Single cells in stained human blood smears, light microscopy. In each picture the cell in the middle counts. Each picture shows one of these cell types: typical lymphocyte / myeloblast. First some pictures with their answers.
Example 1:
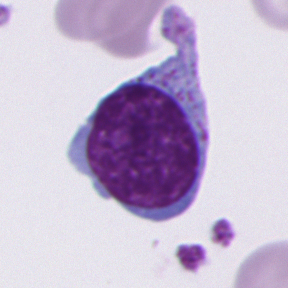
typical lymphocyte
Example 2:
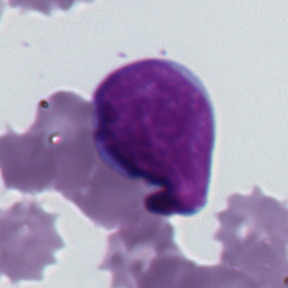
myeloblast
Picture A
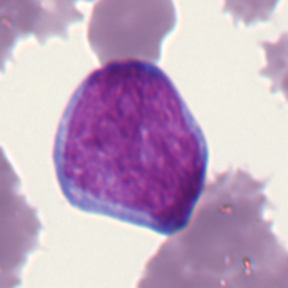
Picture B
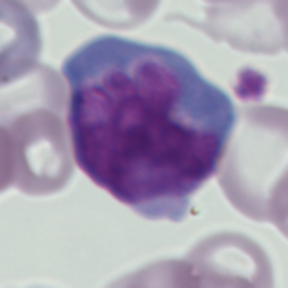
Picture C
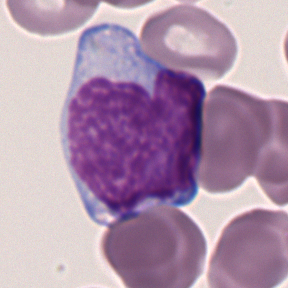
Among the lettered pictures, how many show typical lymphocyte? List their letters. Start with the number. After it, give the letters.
0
